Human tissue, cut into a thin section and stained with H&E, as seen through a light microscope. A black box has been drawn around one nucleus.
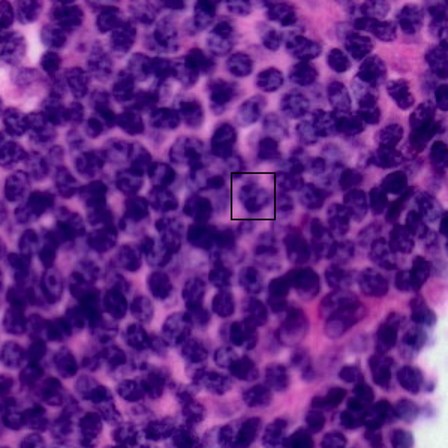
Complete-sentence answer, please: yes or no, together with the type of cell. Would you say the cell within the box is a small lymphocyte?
Yes, by cell type, the cell within the box is a small lymphocyte.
